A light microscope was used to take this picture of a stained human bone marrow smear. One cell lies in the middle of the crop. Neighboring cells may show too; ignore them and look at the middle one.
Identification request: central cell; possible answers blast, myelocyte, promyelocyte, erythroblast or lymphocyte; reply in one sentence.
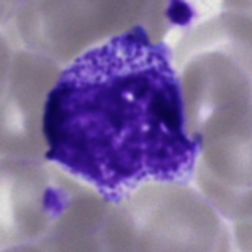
The cell at the middle of the crop is recognized as a myelocyte.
